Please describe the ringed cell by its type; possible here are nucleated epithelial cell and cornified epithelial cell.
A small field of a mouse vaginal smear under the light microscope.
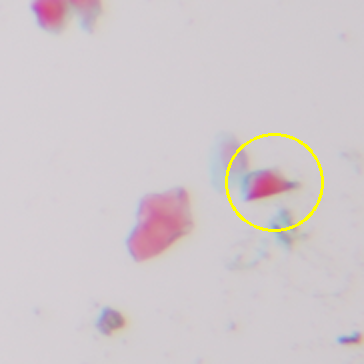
The yellow ring marks a cornified epithelial cell.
